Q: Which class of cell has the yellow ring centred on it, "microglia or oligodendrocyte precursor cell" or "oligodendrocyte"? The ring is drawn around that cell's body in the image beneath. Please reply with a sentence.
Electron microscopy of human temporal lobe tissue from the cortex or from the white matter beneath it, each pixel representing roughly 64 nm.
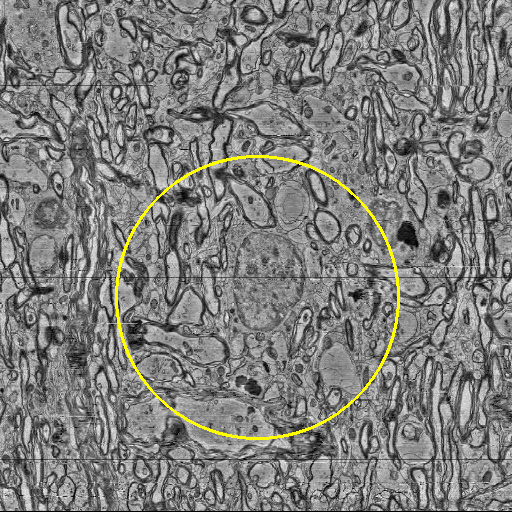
It is centred on an oligodendrocyte.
